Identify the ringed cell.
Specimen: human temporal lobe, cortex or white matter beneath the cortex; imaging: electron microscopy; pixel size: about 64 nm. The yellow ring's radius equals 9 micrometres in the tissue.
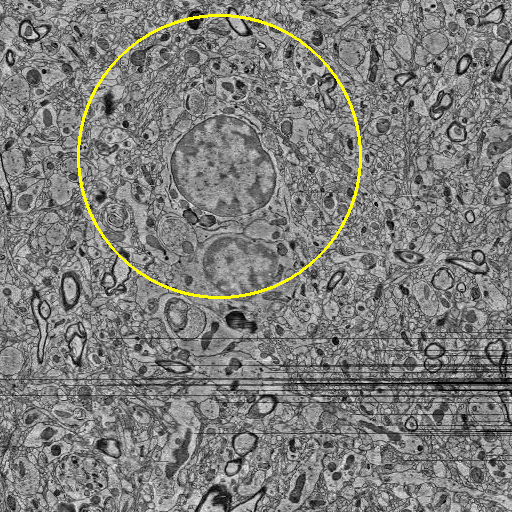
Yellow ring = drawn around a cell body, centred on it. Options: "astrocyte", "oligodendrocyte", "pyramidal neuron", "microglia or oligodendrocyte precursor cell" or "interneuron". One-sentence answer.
What the ring is centred on is a microglial cell or oligodendrocyte precursor cell.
